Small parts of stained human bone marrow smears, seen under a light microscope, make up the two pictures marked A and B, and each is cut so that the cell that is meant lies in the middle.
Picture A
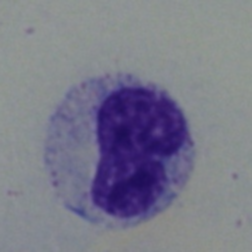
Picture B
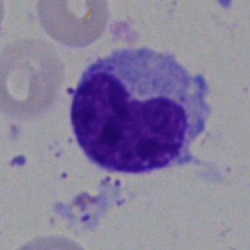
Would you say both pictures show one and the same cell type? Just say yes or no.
yes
